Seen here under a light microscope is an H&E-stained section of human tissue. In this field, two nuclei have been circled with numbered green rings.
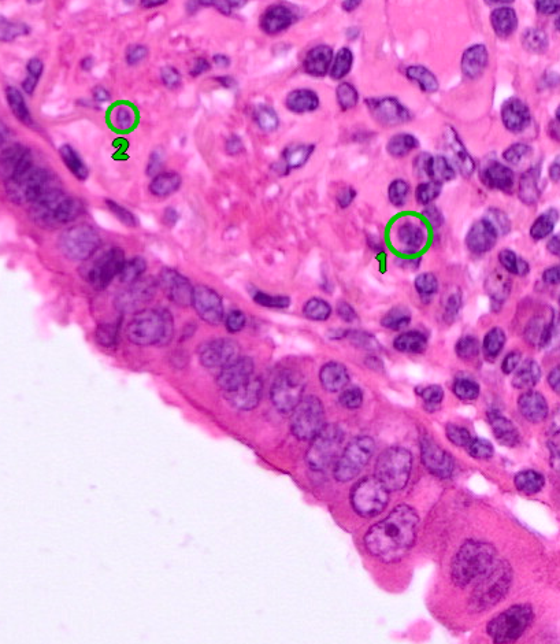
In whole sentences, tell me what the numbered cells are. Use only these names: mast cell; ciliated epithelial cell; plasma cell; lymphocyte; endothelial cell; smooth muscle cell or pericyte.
Cell 1 is a lymphocyte and cell 2 is a smooth muscle cell or pericyte.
